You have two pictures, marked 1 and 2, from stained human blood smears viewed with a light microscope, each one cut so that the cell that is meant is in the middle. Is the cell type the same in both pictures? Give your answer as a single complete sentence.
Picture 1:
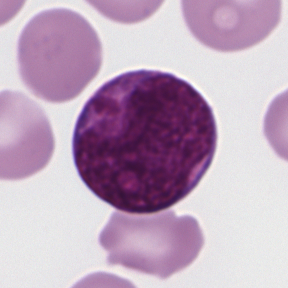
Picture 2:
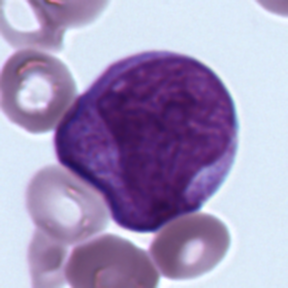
No, the types are not the same, since picture 1 shows a myeloblast and picture 2 an atypical promyelocyte.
